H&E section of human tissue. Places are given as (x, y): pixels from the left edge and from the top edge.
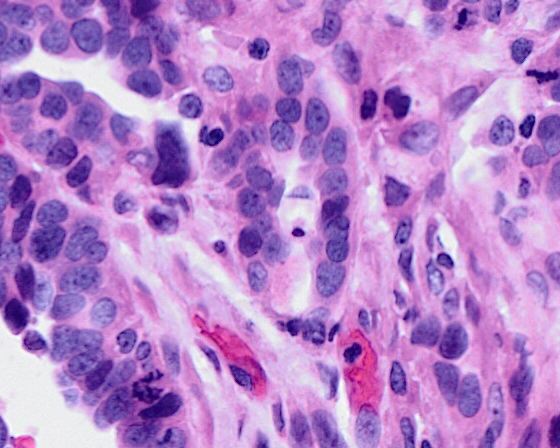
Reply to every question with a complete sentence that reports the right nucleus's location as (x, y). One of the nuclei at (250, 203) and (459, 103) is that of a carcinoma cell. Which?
Of the two nuclei, it is the one at (250, 203) that lies within a carcinoma cell.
